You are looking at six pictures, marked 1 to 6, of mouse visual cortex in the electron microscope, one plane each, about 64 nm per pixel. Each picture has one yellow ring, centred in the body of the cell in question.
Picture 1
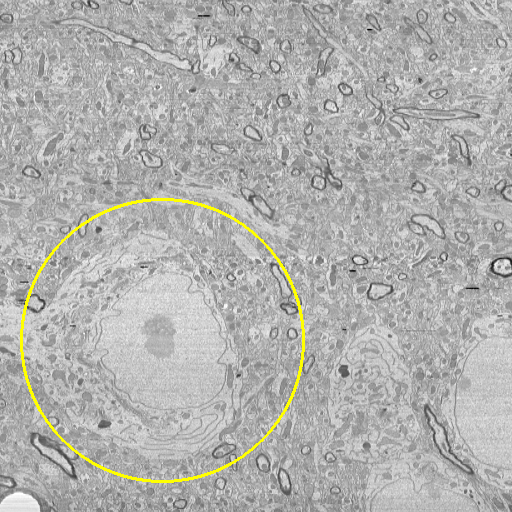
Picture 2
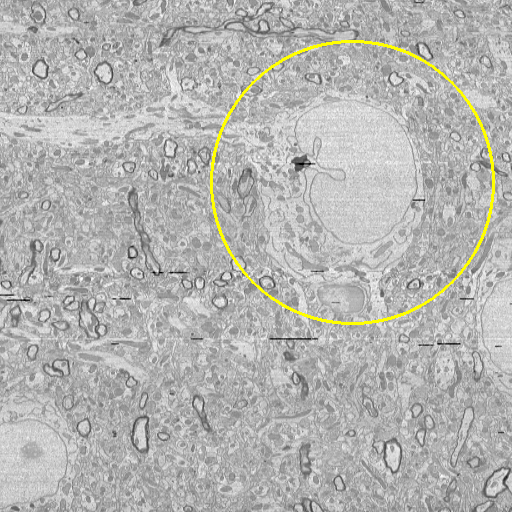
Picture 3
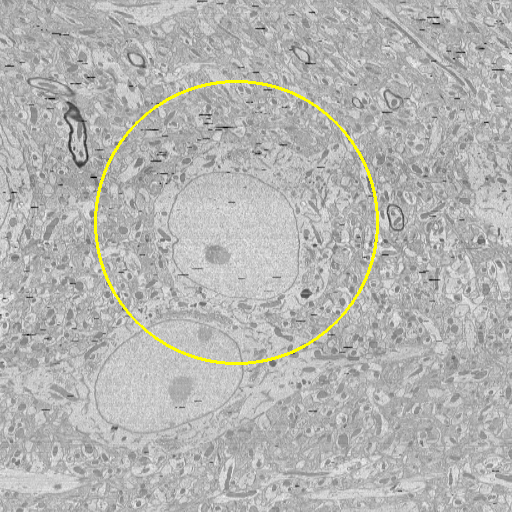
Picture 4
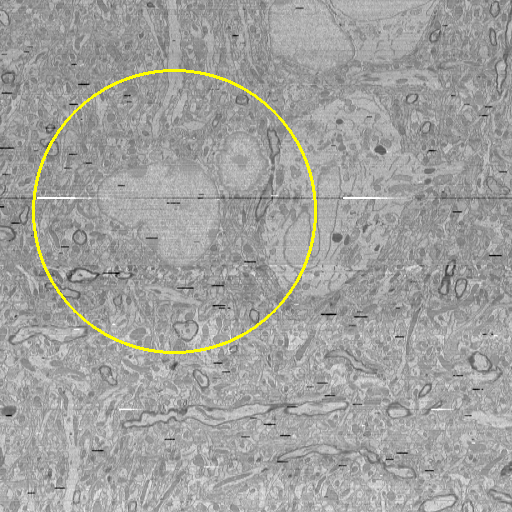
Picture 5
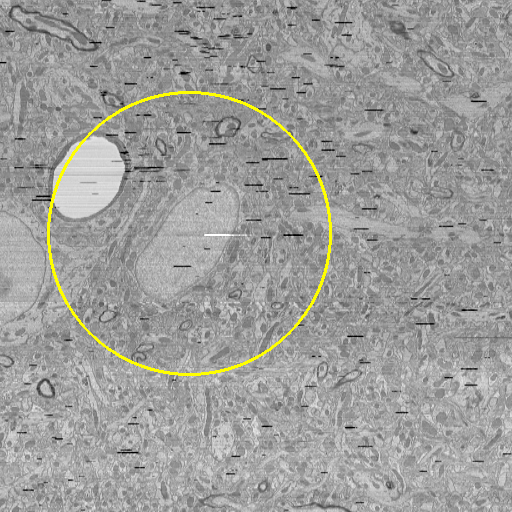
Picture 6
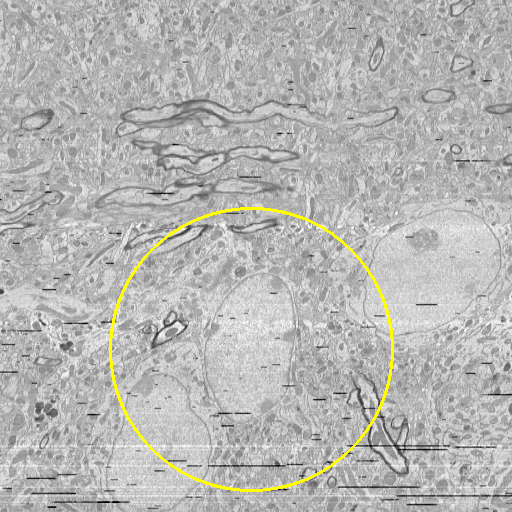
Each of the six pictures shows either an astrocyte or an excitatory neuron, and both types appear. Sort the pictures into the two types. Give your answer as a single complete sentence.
Pictures 4, 5 and 6 show astrocytes, while pictures 1, 2 and 3 show excitatory neurons.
